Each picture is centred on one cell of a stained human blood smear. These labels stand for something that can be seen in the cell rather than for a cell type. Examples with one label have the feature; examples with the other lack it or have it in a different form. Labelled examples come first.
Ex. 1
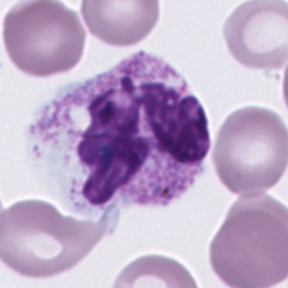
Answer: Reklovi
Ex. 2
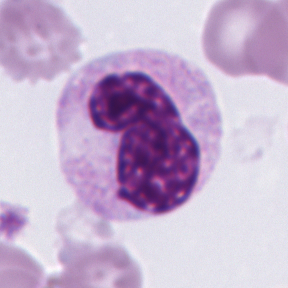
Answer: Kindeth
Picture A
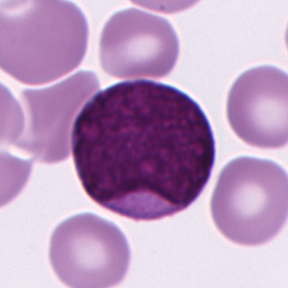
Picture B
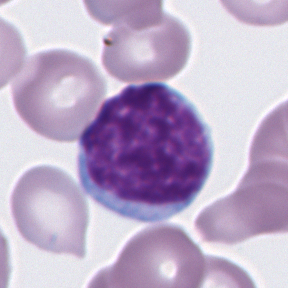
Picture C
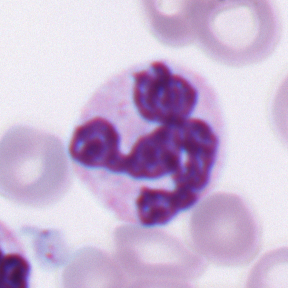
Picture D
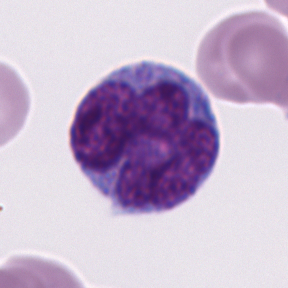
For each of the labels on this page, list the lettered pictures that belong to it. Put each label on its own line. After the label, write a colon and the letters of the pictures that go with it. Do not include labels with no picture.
Kindeth: A, B, C, D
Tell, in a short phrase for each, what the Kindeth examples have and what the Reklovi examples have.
Seen in Kindeth: no vacuoles; seen in Reklovi: vacuoles present.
